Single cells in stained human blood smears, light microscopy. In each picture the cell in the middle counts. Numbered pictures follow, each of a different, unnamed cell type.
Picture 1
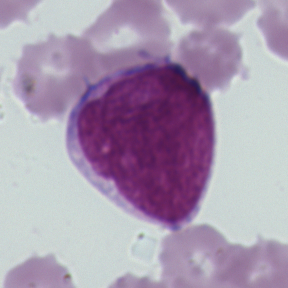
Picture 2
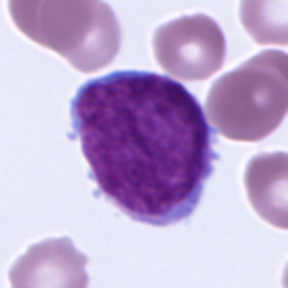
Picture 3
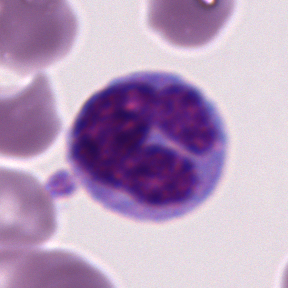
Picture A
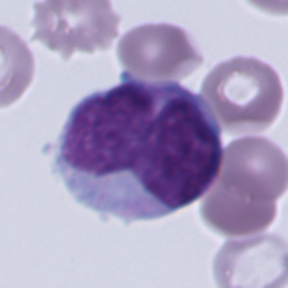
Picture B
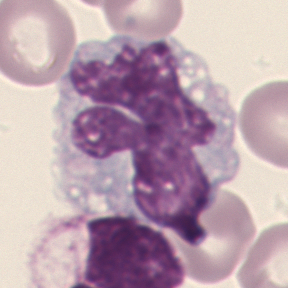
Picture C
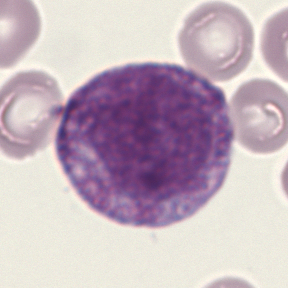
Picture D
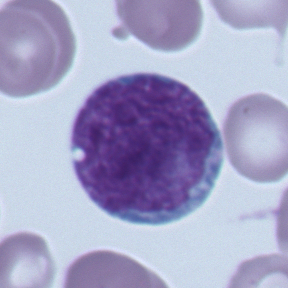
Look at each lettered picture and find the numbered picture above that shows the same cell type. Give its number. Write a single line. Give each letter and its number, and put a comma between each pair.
A 2, B 3, C 2, D 1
